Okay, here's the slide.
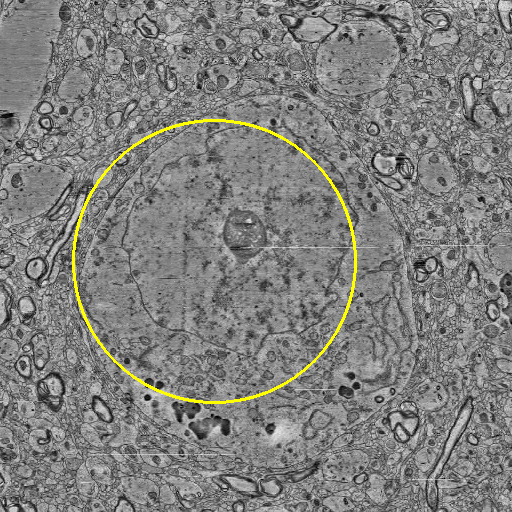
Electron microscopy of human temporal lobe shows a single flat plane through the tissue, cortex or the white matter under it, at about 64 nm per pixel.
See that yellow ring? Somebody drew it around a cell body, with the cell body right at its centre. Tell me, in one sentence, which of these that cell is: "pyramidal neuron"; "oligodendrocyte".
The cell in the middle of the ring is a pyramidal neuron.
